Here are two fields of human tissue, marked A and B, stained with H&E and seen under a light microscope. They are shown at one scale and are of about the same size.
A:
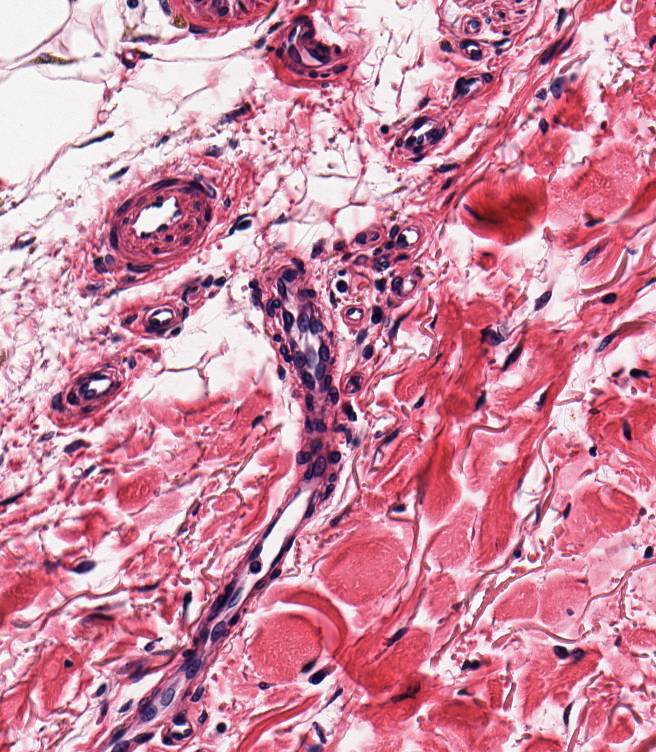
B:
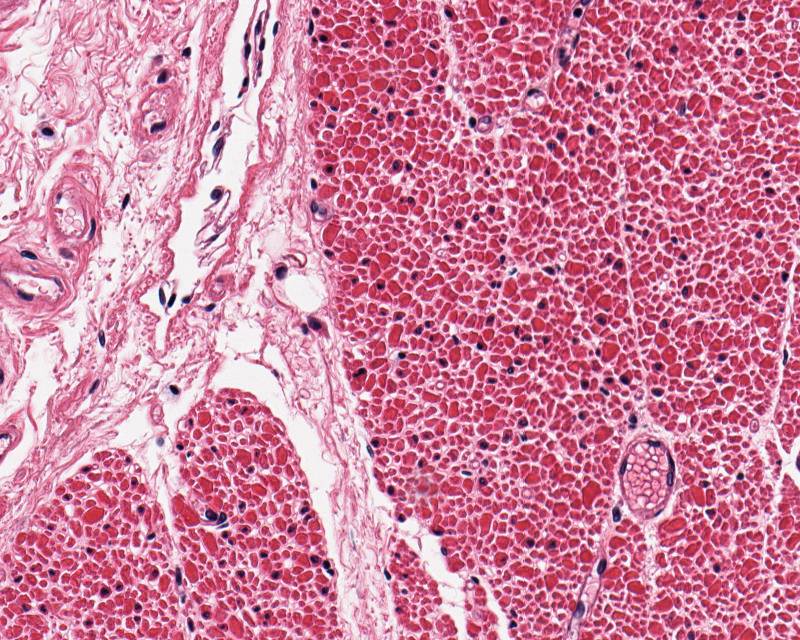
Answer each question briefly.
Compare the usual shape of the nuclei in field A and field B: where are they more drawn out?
A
